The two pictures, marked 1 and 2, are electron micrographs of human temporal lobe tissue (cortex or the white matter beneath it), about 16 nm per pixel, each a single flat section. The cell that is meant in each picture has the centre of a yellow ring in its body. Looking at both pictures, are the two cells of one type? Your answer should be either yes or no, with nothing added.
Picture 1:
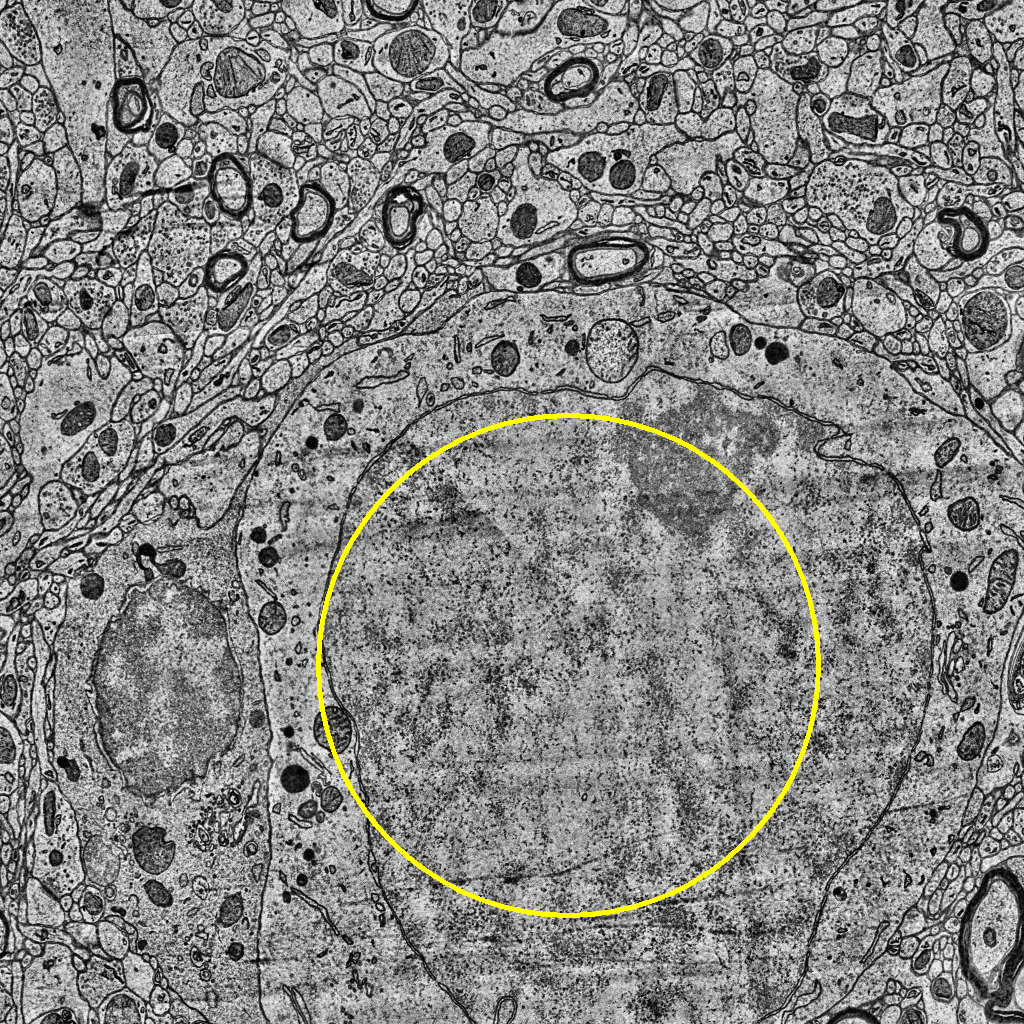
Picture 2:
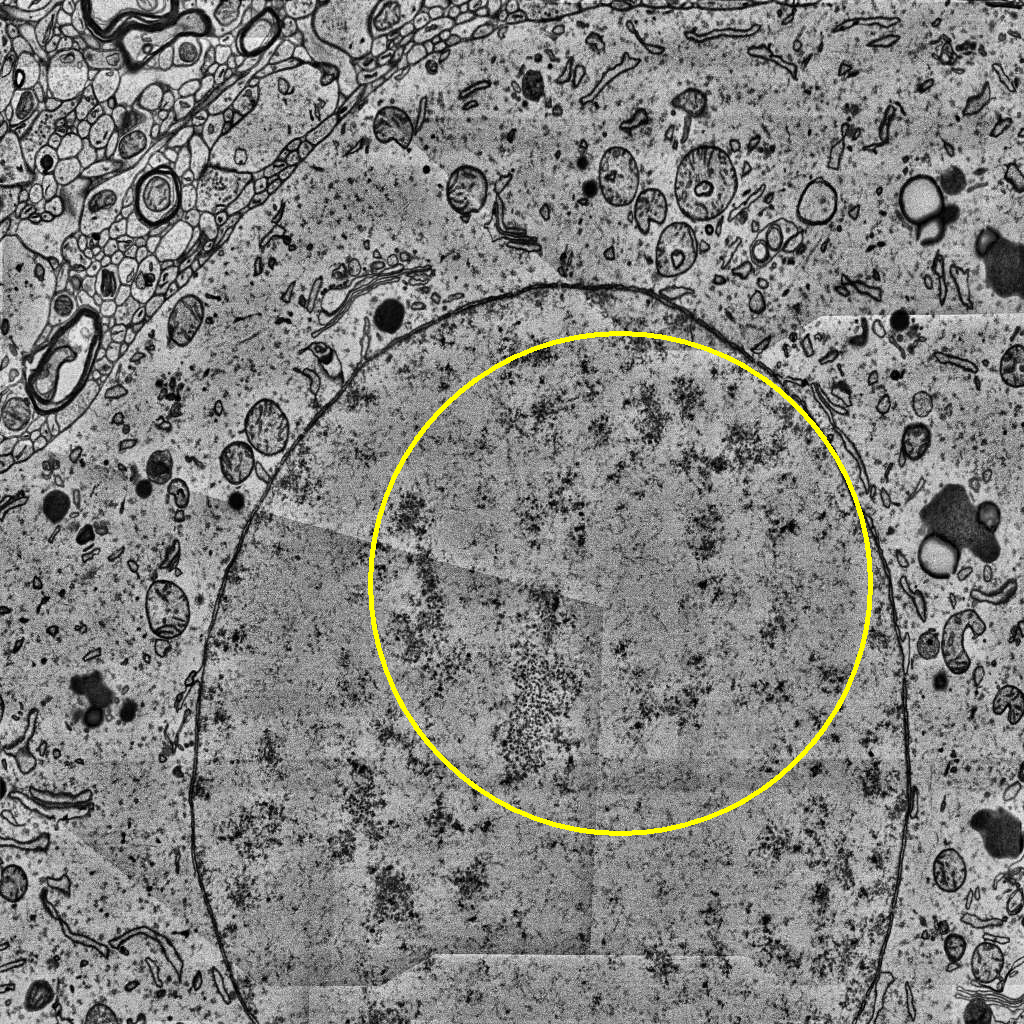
yes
